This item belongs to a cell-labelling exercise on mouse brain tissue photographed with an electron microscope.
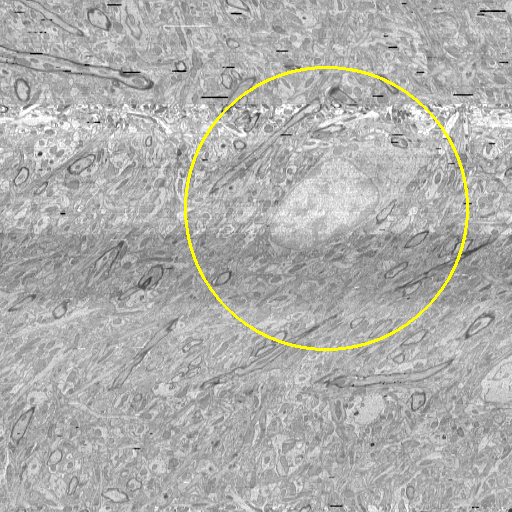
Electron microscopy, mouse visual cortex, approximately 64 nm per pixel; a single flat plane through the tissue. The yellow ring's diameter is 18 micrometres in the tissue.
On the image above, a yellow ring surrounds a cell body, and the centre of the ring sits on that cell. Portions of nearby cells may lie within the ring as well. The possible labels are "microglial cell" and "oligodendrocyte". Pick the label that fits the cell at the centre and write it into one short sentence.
This cell should be labelled as an oligodendrocyte.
